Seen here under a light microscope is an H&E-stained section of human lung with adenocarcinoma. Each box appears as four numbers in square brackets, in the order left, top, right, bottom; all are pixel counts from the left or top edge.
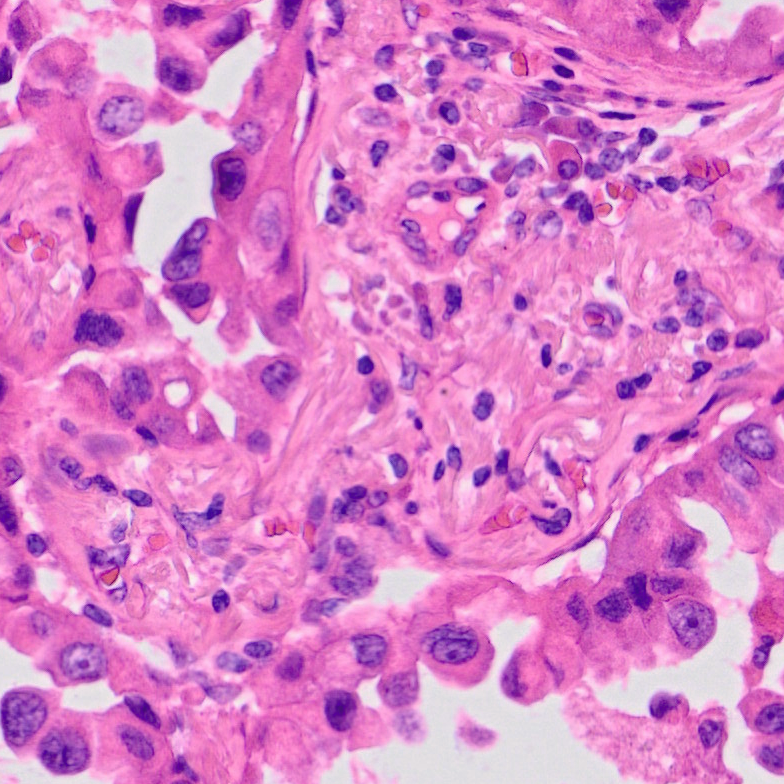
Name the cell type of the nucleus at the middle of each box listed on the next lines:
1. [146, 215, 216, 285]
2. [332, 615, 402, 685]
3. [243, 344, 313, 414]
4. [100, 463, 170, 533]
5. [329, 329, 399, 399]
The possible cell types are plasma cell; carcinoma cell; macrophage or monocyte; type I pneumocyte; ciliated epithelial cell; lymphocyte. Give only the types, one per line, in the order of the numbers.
carcinoma cell
carcinoma cell
carcinoma cell
lymphocyte
lymphocyte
